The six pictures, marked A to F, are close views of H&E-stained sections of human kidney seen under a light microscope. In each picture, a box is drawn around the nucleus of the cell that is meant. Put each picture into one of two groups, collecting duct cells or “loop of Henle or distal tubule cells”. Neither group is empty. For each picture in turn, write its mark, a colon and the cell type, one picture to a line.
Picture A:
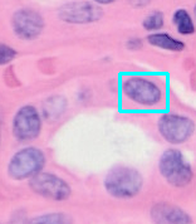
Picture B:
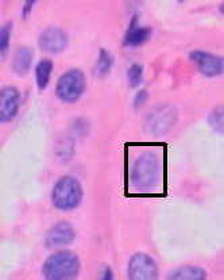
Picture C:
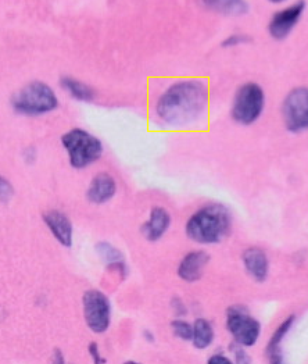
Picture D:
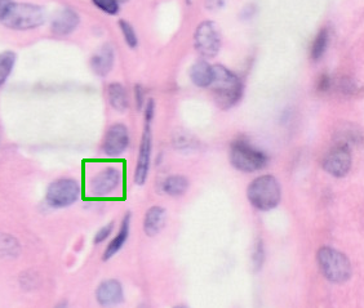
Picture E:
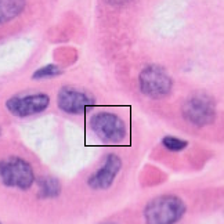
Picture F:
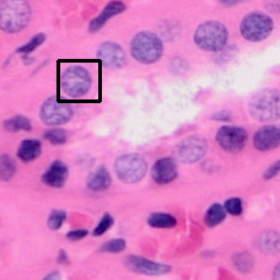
A: collecting duct cell
B: loop of Henle or distal tubule cell
C: loop of Henle or distal tubule cell
D: collecting duct cell
E: collecting duct cell
F: collecting duct cell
